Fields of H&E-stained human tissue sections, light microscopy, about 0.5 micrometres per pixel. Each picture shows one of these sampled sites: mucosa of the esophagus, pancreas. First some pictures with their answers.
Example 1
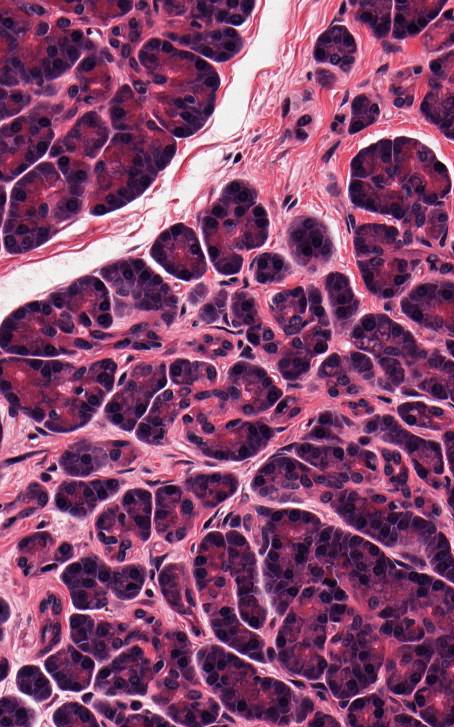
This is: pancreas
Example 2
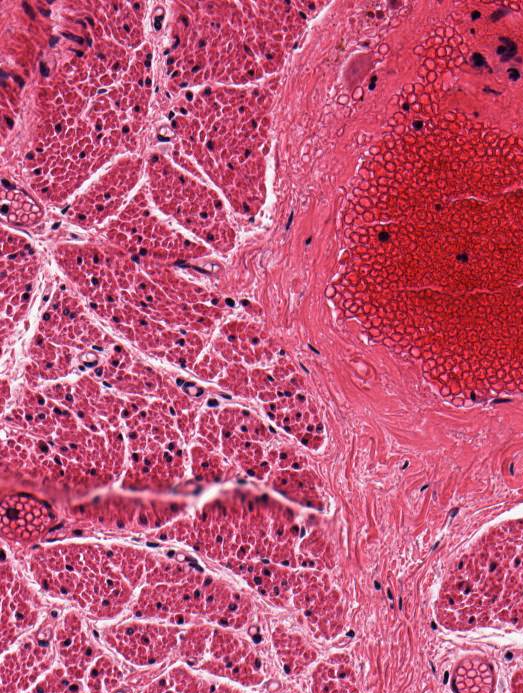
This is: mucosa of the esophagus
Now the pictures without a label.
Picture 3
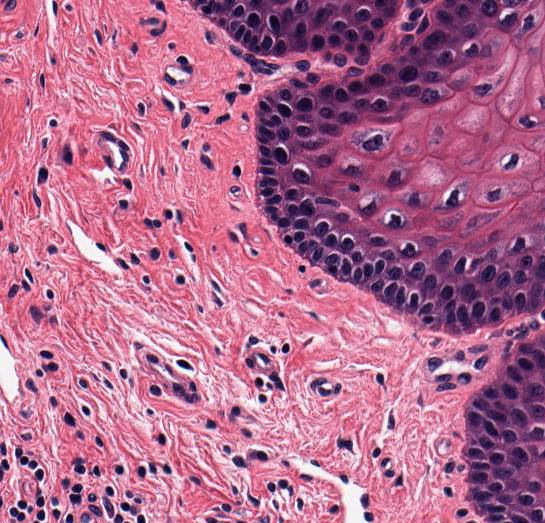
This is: mucosa of the esophagus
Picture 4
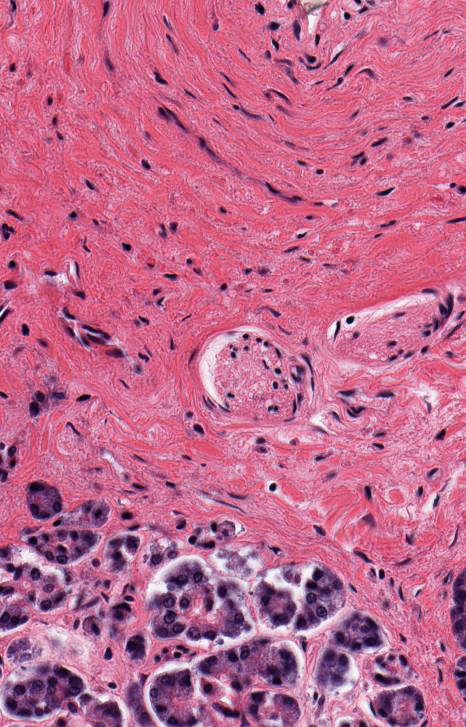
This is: pancreas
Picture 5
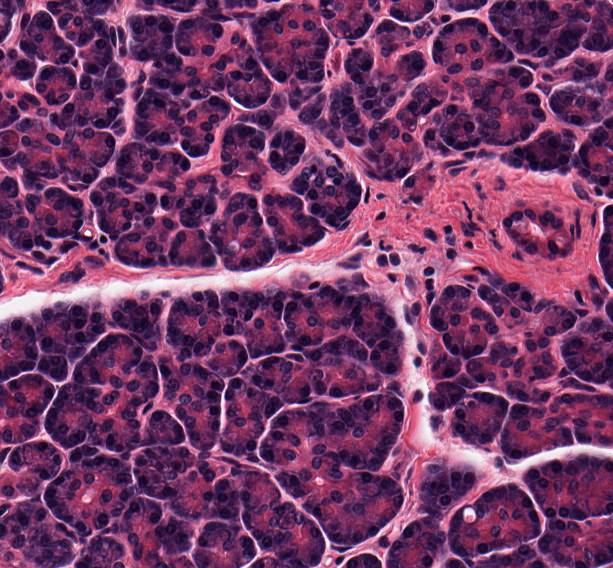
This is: pancreas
